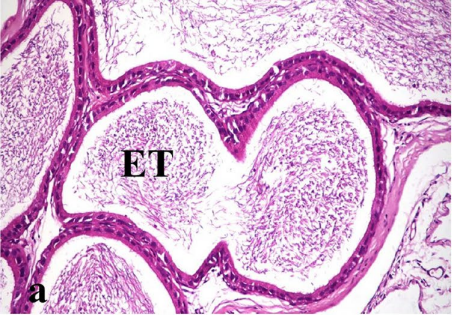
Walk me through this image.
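Epididymal tubules cut in cross and oblique section, lined by an even, continuous epithelium with rows of dark purple nuclei and a smooth luminal border. The lumina are wide and filled with a pale pink, fine fibrillar mass of sperm, separated from the epithelium by a clear space. Thin strands of connective tissue lie between adjacent tubules. Tubule outlines are regular and closely packed, with no expansion of the interstitium, no loss of epithelium and no collections of inflammatory cells.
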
